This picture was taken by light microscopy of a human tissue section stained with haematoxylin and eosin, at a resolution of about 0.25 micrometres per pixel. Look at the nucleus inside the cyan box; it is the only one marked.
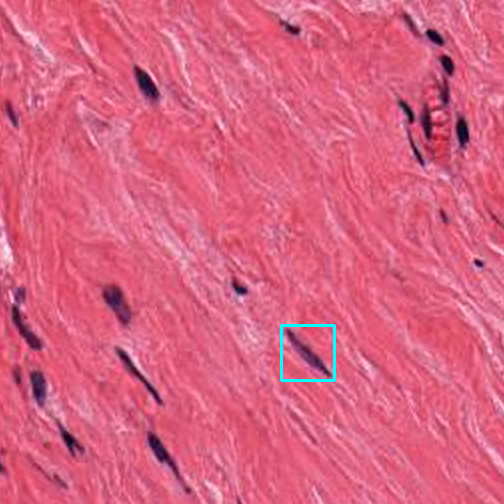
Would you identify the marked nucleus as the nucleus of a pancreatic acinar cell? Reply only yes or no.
no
